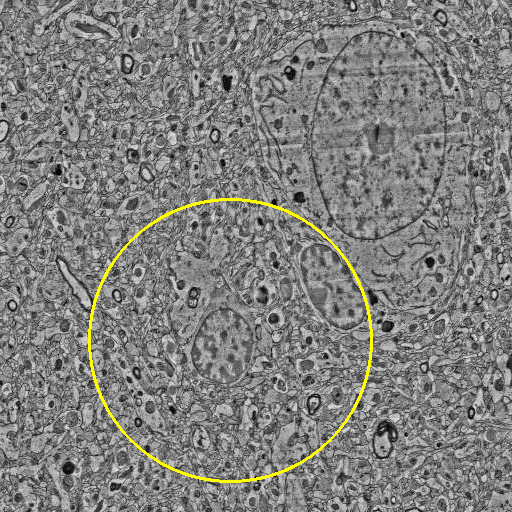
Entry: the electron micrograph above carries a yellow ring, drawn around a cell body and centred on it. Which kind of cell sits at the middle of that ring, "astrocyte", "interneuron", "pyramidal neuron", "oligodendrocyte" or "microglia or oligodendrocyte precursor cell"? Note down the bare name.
oligodendrocyte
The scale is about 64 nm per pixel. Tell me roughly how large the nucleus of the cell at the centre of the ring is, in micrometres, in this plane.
About 5 by 4 micrometres in this plane.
